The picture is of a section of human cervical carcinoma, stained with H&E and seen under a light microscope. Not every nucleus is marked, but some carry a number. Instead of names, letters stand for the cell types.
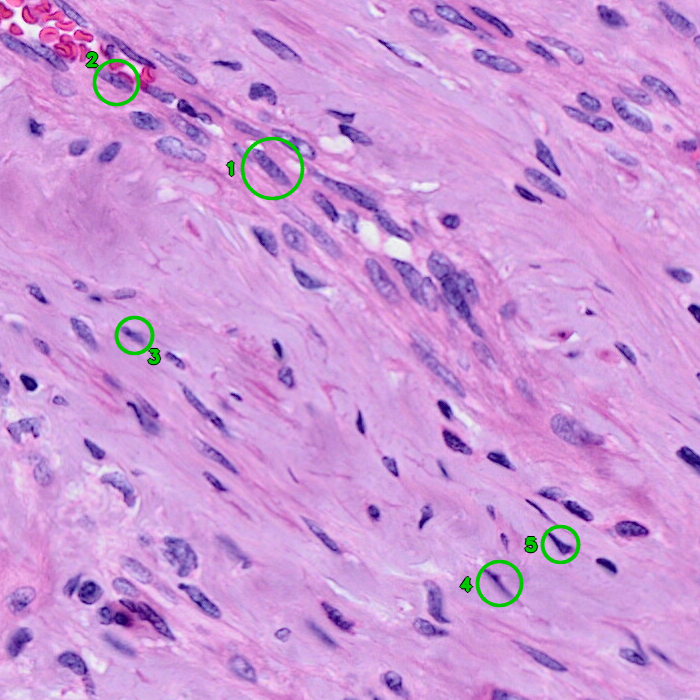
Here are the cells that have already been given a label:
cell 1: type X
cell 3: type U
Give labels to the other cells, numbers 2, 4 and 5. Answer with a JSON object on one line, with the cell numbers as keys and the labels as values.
{"2": "type X", "4": "type U", "5": "type U"}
